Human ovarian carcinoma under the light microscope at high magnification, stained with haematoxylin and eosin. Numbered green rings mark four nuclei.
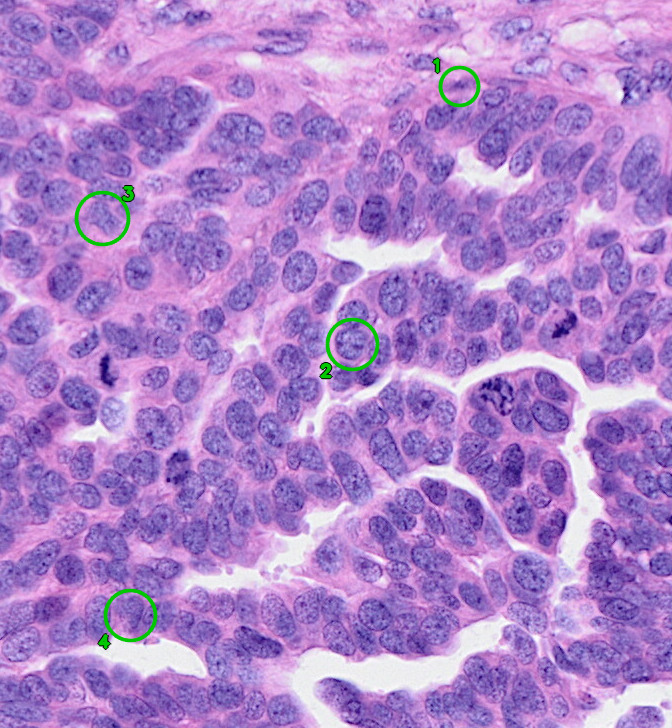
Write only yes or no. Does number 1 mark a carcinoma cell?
no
